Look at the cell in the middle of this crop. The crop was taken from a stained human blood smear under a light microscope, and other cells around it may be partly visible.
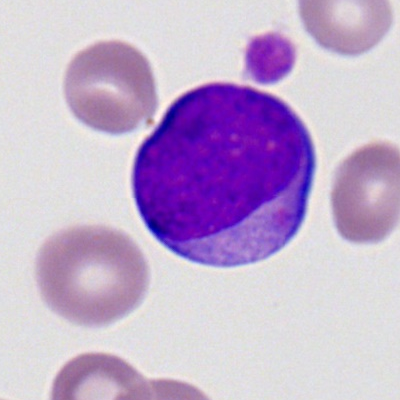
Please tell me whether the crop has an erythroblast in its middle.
no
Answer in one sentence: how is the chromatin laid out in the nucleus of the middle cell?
There is no coarse clumping; the chromatin stays fine throughout.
